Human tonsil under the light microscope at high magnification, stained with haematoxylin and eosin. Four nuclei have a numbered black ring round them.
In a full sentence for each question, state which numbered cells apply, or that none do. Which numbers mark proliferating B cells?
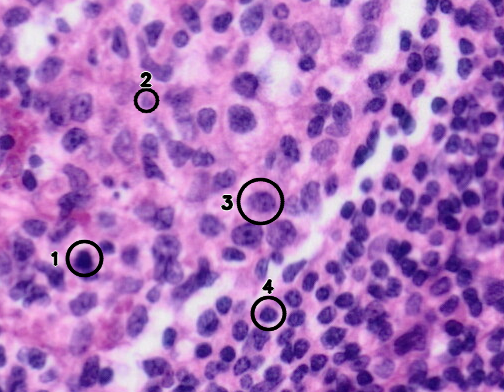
The cells numbered 1, 2 and 3 are identified as proliferating B cells.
